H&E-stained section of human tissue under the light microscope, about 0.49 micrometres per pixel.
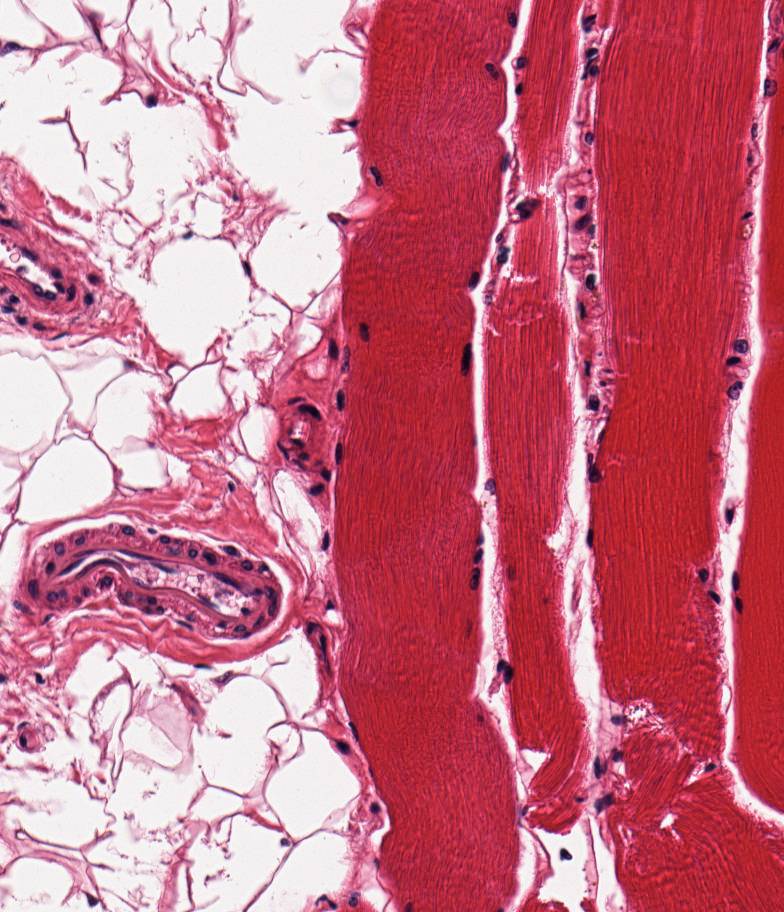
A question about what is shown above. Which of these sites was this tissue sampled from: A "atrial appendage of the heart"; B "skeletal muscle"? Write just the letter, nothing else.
B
